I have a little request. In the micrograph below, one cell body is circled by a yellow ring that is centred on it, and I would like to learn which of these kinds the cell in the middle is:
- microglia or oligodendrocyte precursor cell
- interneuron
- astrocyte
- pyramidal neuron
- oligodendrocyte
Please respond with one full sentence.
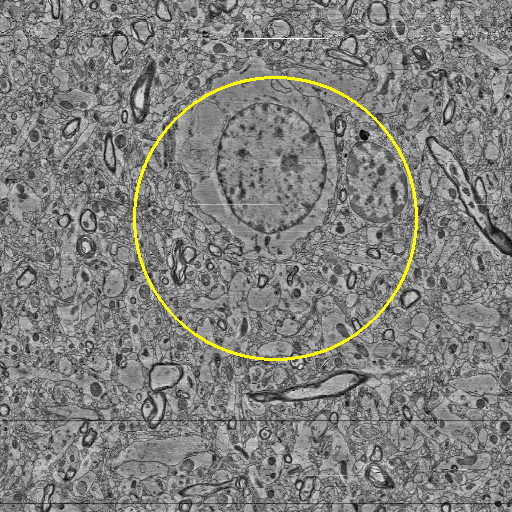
The cell sitting in the middle of the yellow ring in the micrograph is an astrocyte.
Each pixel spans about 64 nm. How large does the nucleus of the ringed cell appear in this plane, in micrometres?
In this plane the nucleus measures roughly 9 by 7 micrometres.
